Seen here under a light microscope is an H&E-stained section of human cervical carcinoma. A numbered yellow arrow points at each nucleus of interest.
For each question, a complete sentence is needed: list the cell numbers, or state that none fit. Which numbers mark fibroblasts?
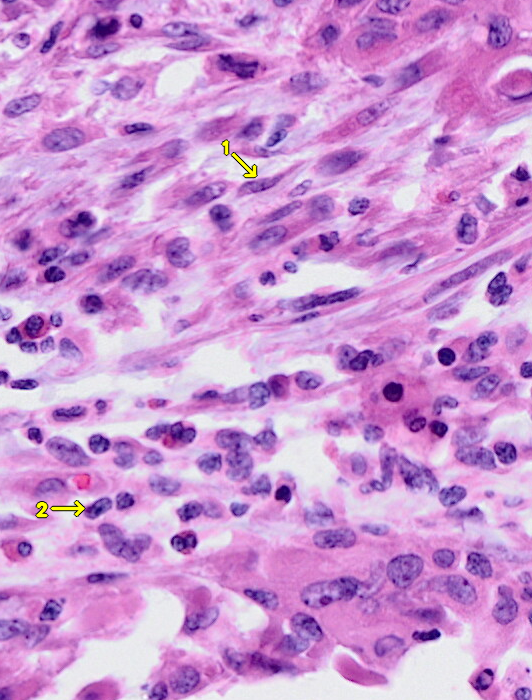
Cell 1 stands alone among the numbered cells as a fibroblast.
